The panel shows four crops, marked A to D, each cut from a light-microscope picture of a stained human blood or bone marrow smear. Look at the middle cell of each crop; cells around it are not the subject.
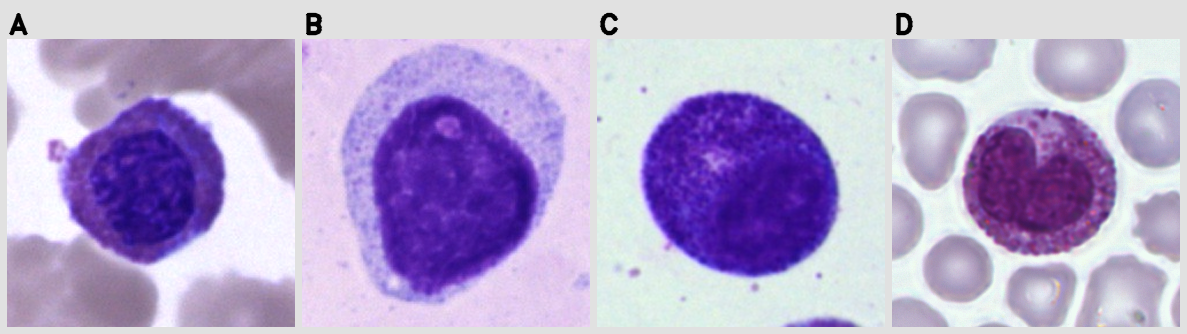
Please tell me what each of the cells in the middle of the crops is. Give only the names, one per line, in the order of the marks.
eosinophil
promyelocyte
promyelocyte
eosinophil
